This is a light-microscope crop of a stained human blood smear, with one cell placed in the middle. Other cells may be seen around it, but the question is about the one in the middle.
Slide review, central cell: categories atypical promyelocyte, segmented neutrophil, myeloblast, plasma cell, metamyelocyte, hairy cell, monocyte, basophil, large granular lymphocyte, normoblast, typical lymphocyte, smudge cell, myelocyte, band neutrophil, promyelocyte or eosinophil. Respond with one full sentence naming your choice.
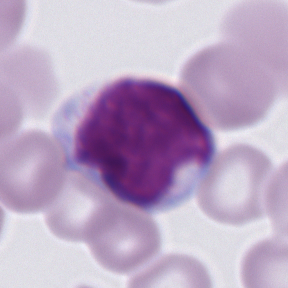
The central cell in this smear crop is a large granular lymphocyte.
